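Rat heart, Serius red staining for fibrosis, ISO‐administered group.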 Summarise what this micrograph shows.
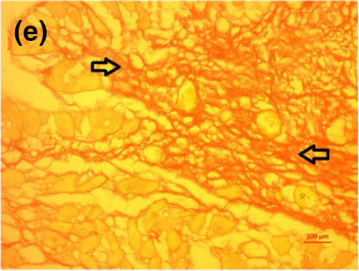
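A dense, branching meshwork of red strands runs across much of the field, thickest toward the upper right, enclosing rounded and irregular yellow to orange islands of muscle tissue of varying size. Toward the left and lower part the red strands thin out and outline pale yellow, somewhat rounded compartments. Cell detail is limited; the image mainly shows the pattern of red fibres wrapping around and separating the yellow-stained tissue, giving the field a net-like appearance.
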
